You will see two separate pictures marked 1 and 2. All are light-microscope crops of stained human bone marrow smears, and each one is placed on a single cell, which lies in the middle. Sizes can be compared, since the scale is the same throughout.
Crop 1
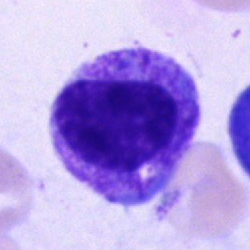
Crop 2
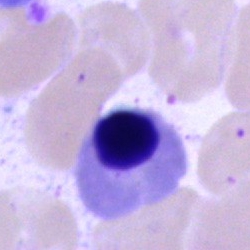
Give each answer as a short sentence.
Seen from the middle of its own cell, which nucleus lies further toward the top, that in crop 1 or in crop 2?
Seen within its cell, the nucleus in crop 2 lies further toward the top.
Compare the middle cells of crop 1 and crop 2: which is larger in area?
It is the cell in crop 1, about 2 times as large in area as the cell in crop 2.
